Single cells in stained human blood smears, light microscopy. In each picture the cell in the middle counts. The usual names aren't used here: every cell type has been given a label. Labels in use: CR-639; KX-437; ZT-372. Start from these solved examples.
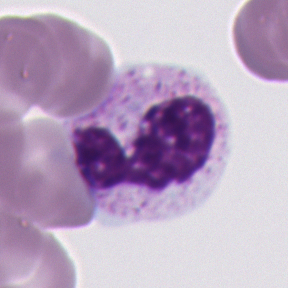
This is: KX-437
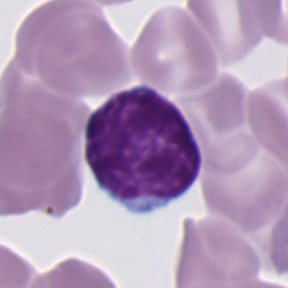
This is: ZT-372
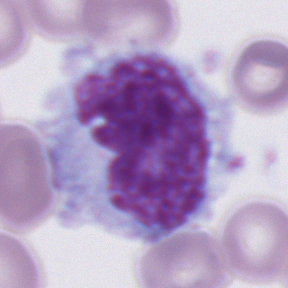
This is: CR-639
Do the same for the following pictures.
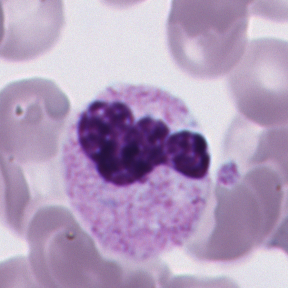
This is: KX-437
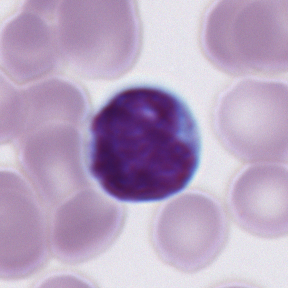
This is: ZT-372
